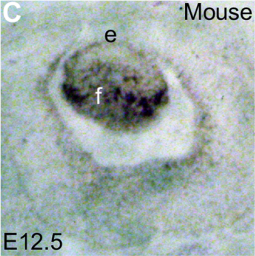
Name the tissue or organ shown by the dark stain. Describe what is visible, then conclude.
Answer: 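A rounded body lies within a pale cup-shaped space. On this evidence: lens.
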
